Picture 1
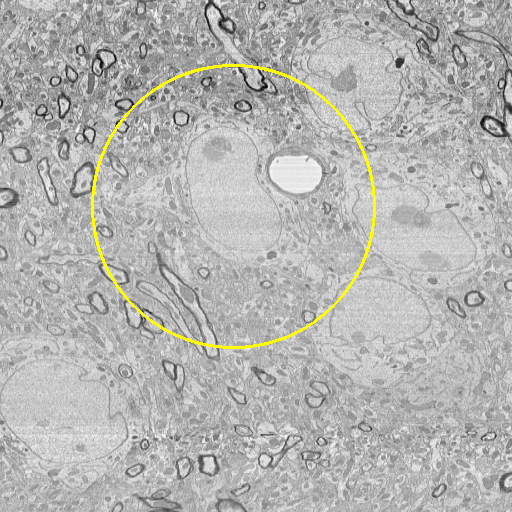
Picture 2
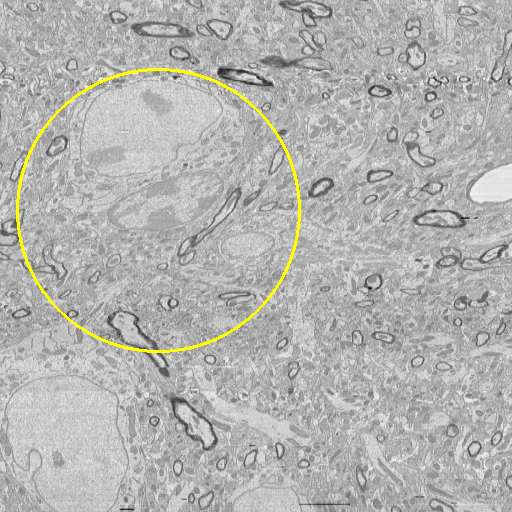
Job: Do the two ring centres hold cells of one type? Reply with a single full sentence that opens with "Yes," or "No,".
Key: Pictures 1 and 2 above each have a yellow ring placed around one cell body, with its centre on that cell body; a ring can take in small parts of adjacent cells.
No, the cells at the two ring centres are of two separate types.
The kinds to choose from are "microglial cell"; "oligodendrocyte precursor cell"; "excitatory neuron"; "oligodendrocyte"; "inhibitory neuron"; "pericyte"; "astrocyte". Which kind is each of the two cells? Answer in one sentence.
Of the two, the first cell is an excitatory neuron and the second cell is an oligodendrocyte.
